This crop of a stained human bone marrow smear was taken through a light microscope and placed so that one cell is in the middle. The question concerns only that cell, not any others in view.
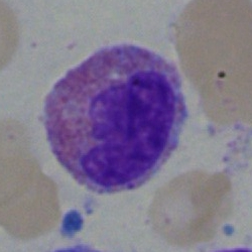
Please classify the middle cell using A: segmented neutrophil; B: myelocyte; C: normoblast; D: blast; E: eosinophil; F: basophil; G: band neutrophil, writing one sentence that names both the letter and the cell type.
The cell right in the middle is an eosinophil, so option E is the one.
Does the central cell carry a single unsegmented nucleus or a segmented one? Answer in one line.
In this cell the nucleus is a solitary compact mass, round, oval or kidney-shaped.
